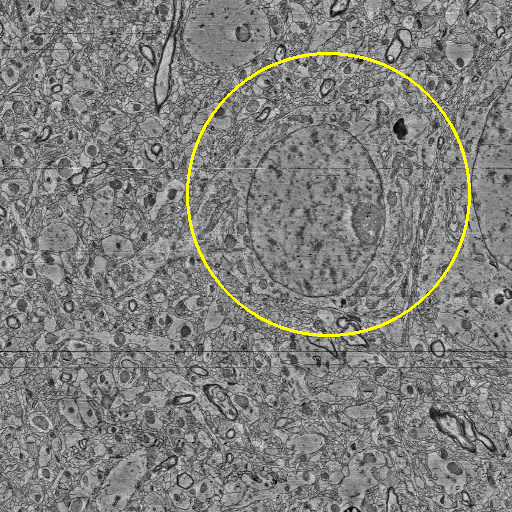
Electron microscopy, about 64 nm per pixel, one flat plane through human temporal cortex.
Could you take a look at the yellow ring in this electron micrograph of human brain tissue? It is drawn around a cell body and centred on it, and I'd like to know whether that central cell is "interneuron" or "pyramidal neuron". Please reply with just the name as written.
interneuron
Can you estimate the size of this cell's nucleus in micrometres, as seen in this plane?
In this plane the nucleus measures roughly 12 by 9 micrometers.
